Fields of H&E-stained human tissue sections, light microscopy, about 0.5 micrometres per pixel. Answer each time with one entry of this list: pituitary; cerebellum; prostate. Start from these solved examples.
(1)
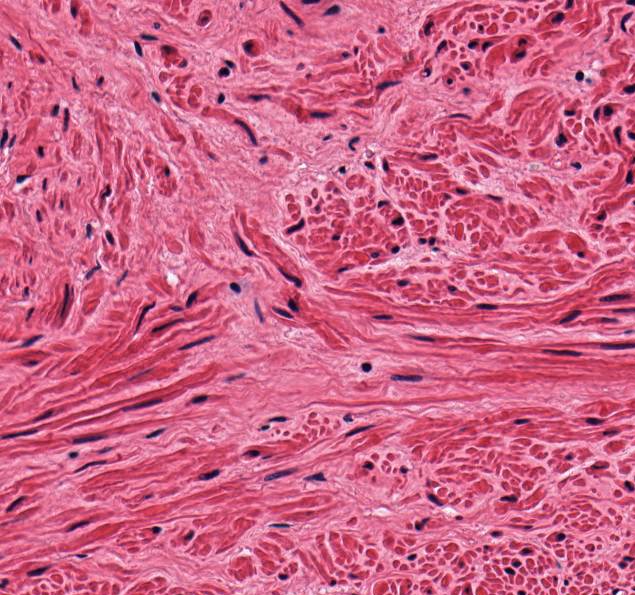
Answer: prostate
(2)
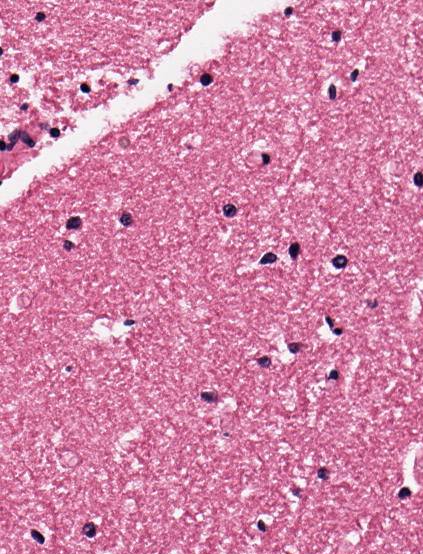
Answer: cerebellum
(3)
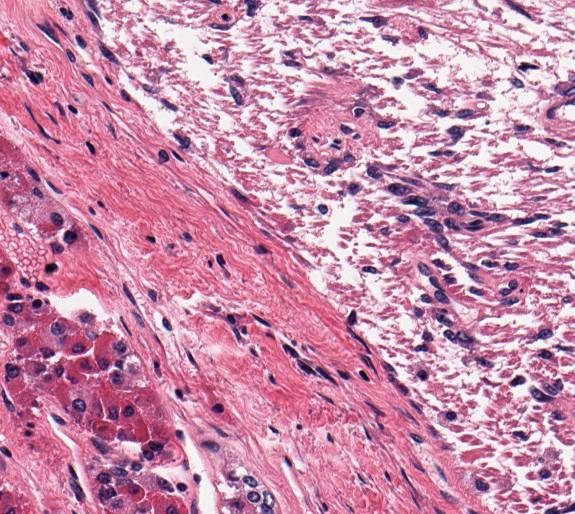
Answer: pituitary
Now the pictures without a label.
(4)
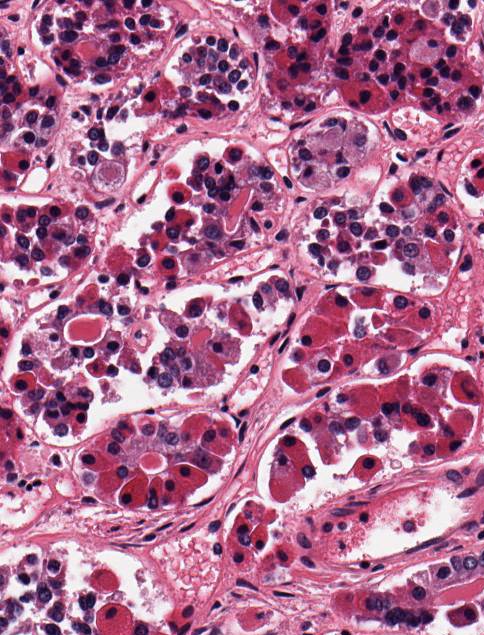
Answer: pituitary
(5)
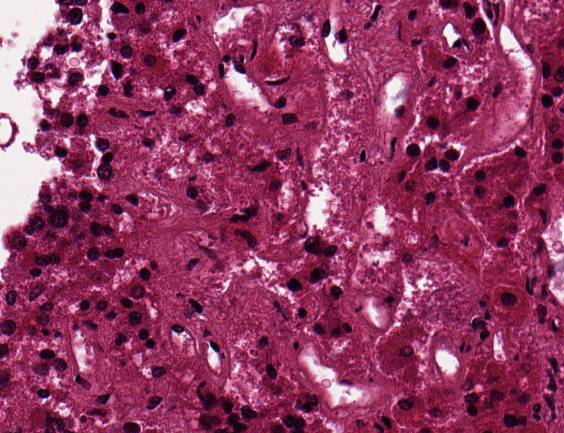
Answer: pituitary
